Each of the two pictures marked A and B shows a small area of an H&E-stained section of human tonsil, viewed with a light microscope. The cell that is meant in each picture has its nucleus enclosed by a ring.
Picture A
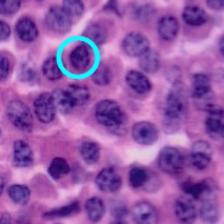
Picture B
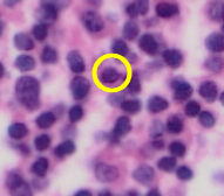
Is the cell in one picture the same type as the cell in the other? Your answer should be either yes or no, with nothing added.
no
